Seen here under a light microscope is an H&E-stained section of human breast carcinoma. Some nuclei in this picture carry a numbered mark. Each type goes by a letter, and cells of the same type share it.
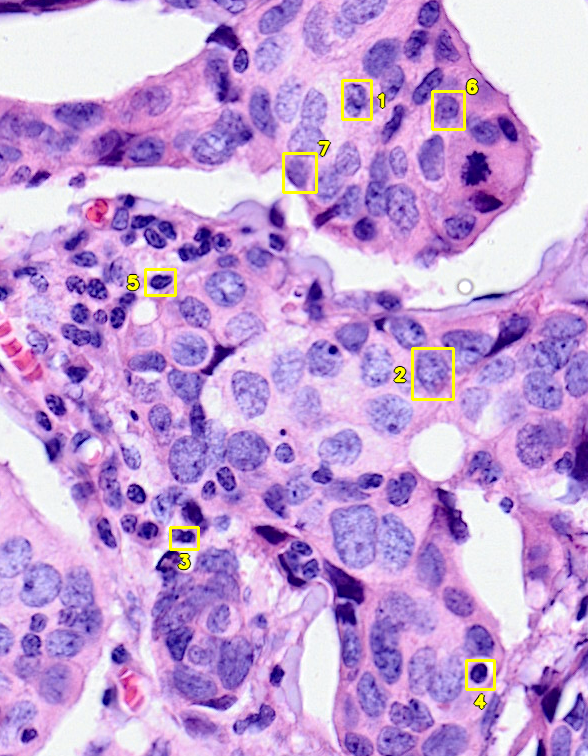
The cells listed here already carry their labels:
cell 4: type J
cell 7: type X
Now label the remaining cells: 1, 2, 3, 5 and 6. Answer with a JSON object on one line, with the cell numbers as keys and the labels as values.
{"1": "type X", "2": "type X", "3": "type J", "5": "type J", "6": "type X"}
